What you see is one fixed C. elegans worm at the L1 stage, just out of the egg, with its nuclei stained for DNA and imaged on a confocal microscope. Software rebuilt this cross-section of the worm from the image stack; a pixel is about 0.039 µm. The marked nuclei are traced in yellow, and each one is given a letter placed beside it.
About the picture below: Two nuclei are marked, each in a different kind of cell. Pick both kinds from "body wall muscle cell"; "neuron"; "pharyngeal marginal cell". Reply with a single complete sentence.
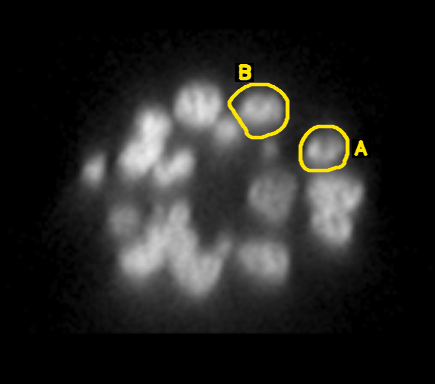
The nucleus A is that of a body wall muscle cell, while B is that of a neuron.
